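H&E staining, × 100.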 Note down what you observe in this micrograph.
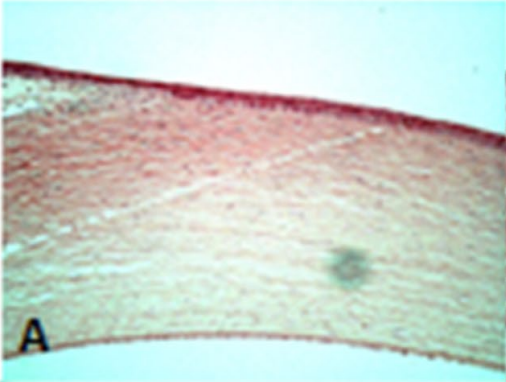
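This is a full-thickness section of the cornea. Along the top runs a thin, even, darker pink surface epithelium of a few cell layers. Beneath it lies the thick stroma, made of pale pink, closely stacked parallel lamellae, with only sparse, flattened, elongated nuclei of keratocytes spread between them. The lower surface is lined by a single flat layer of endothelial cells, continuous along the whole edge.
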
